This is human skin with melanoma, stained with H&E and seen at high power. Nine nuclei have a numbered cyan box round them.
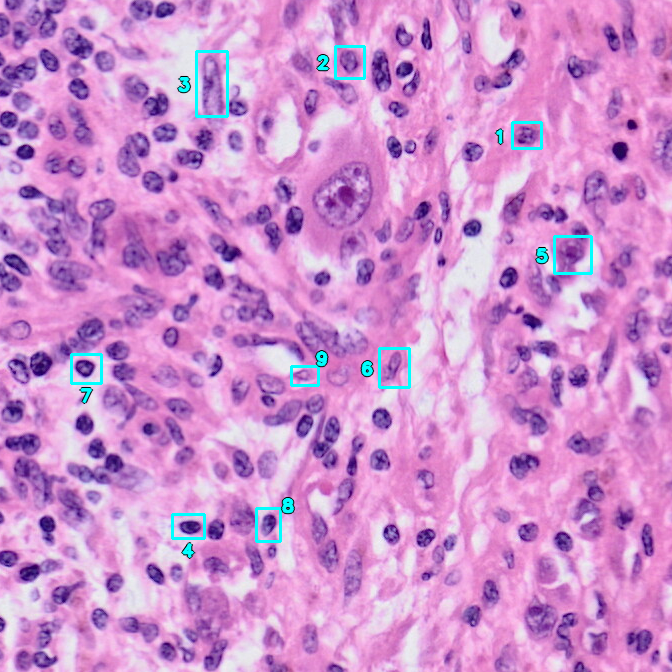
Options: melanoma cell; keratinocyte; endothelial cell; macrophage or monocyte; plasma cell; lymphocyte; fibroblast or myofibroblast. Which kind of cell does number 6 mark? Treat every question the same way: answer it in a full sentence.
The nucleus labeled 6 belongs to a macrophage or monocyte.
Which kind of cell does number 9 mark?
The nucleus marked 9 is the nucleus of an endothelial cell.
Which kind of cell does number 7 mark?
The cell that bears the number 7 is a lymphocyte.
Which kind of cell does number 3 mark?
The cell marked with the number 3 is a fibroblast or myofibroblast.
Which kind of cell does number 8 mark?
The cell marked with number 8 is a lymphocyte.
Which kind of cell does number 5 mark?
What the number 5 marks in this field is a melanoma cell.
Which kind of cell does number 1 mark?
The cell indicated by marker 1 is a macrophage or monocyte in this section.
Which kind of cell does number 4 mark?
Of the numbered cells, the one labelled 4 is a lymphocyte.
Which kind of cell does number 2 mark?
As for number 2, that cell is a macrophage or monocyte.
